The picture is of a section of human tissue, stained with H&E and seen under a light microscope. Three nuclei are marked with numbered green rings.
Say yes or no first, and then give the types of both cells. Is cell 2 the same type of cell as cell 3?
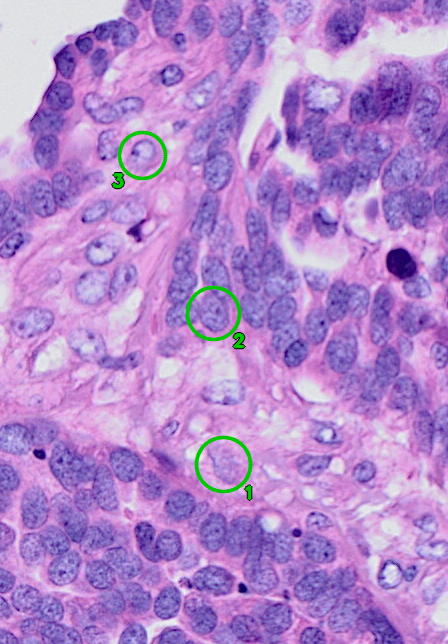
No, cell 2 is a carcinoma cell and cell 3 is a fibroblast.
